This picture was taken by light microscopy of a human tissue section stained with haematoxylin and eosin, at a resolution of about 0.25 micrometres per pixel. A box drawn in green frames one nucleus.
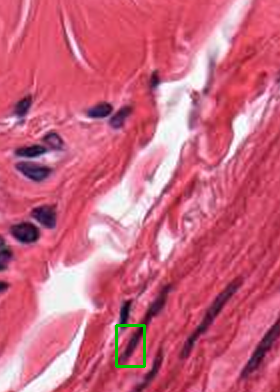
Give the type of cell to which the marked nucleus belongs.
smooth muscle cell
